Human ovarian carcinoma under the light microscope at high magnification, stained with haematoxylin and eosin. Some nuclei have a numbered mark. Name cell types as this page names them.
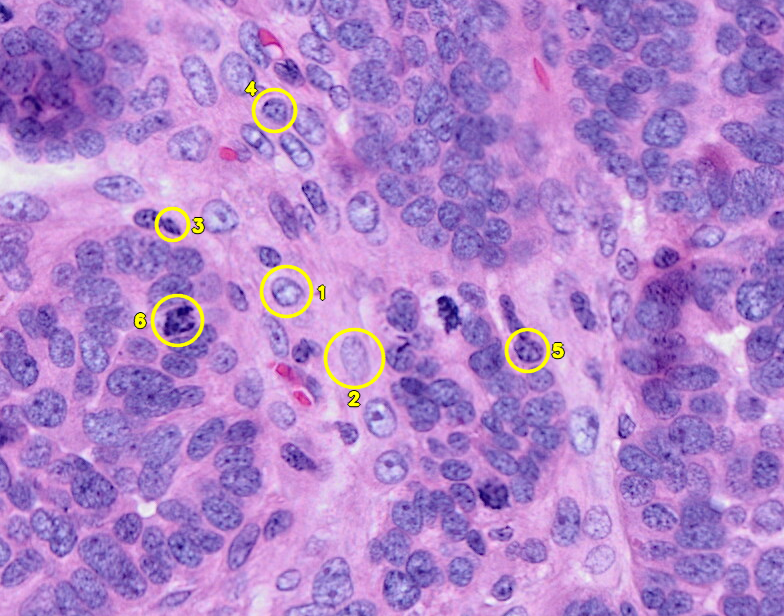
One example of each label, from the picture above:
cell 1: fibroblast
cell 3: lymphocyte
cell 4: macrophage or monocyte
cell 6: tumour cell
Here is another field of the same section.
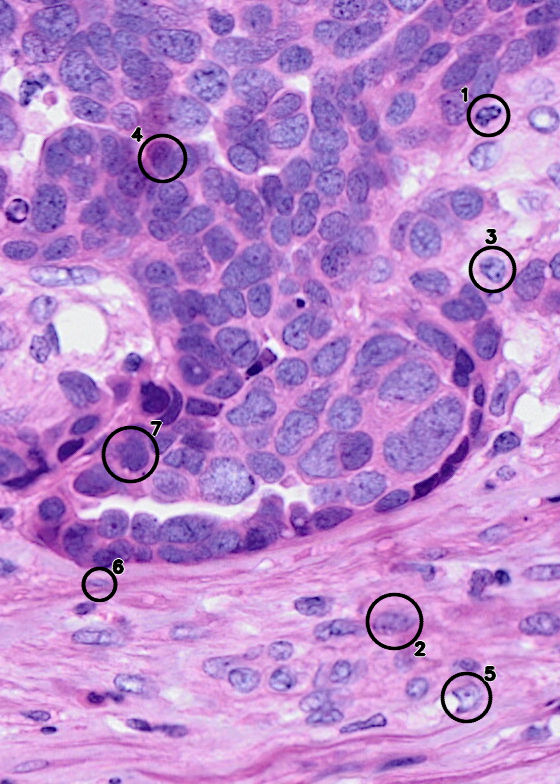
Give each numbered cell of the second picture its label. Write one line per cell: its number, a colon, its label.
1: lymphocyte
2: fibroblast
3: macrophage or monocyte
4: tumour cell
5: fibroblast
6: fibroblast
7: tumour cell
